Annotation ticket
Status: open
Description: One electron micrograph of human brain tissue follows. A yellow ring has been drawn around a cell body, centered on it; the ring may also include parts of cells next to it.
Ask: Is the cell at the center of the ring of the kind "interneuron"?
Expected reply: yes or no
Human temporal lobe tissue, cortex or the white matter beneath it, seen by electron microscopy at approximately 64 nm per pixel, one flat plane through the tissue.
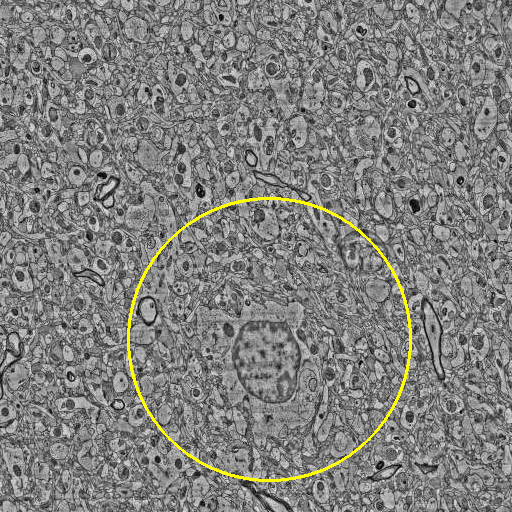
no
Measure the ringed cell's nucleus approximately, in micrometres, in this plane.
About 5 by 4 micrometres in this plane.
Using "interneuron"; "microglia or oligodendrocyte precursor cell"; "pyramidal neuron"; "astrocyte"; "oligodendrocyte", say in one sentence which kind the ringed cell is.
So the cell at the centre is an astrocyte.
